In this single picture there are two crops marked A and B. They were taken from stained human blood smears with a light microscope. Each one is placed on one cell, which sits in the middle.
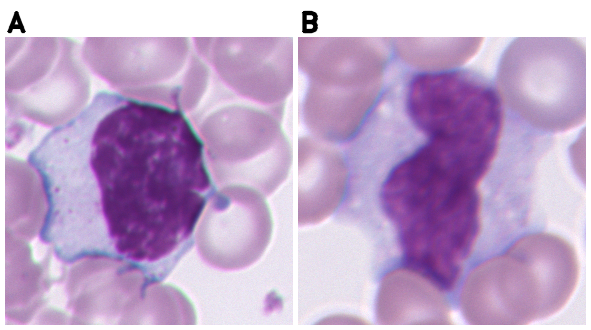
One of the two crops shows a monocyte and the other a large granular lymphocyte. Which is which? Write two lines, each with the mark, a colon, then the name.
A: large granular lymphocyte
B: monocyte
